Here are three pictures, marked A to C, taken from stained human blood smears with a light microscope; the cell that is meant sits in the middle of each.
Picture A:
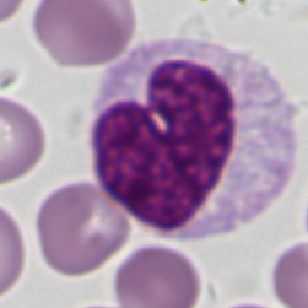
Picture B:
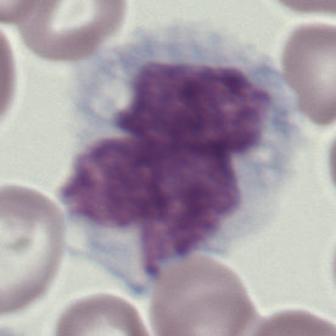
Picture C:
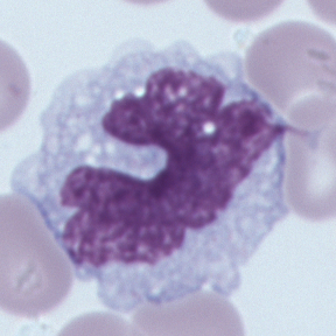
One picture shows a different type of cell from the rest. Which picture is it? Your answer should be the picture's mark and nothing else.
A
